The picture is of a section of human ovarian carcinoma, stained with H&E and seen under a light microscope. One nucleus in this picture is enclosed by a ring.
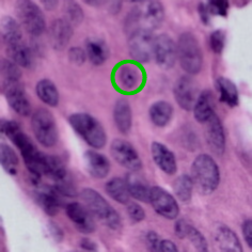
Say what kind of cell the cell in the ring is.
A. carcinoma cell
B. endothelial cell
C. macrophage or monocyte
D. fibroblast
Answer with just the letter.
B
